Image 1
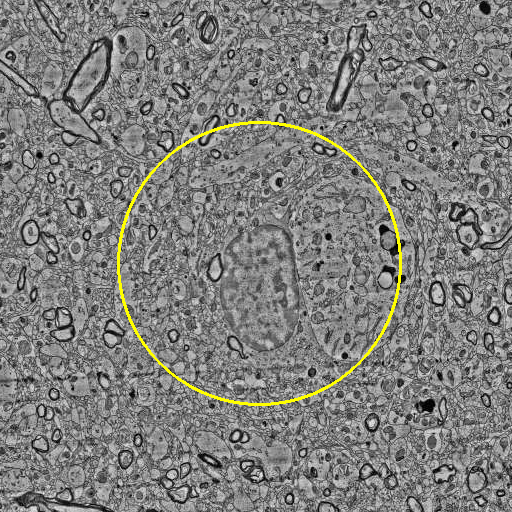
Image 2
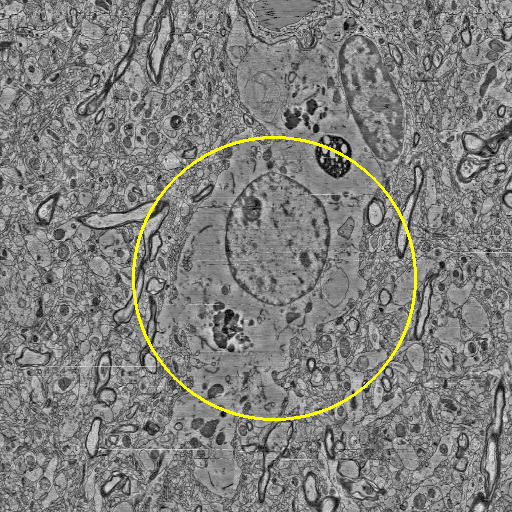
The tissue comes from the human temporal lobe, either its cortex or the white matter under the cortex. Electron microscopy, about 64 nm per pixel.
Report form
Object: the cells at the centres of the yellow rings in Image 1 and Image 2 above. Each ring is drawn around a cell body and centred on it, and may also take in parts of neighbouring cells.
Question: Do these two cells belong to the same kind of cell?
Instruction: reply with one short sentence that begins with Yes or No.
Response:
No, they belong to two kinds of cell.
